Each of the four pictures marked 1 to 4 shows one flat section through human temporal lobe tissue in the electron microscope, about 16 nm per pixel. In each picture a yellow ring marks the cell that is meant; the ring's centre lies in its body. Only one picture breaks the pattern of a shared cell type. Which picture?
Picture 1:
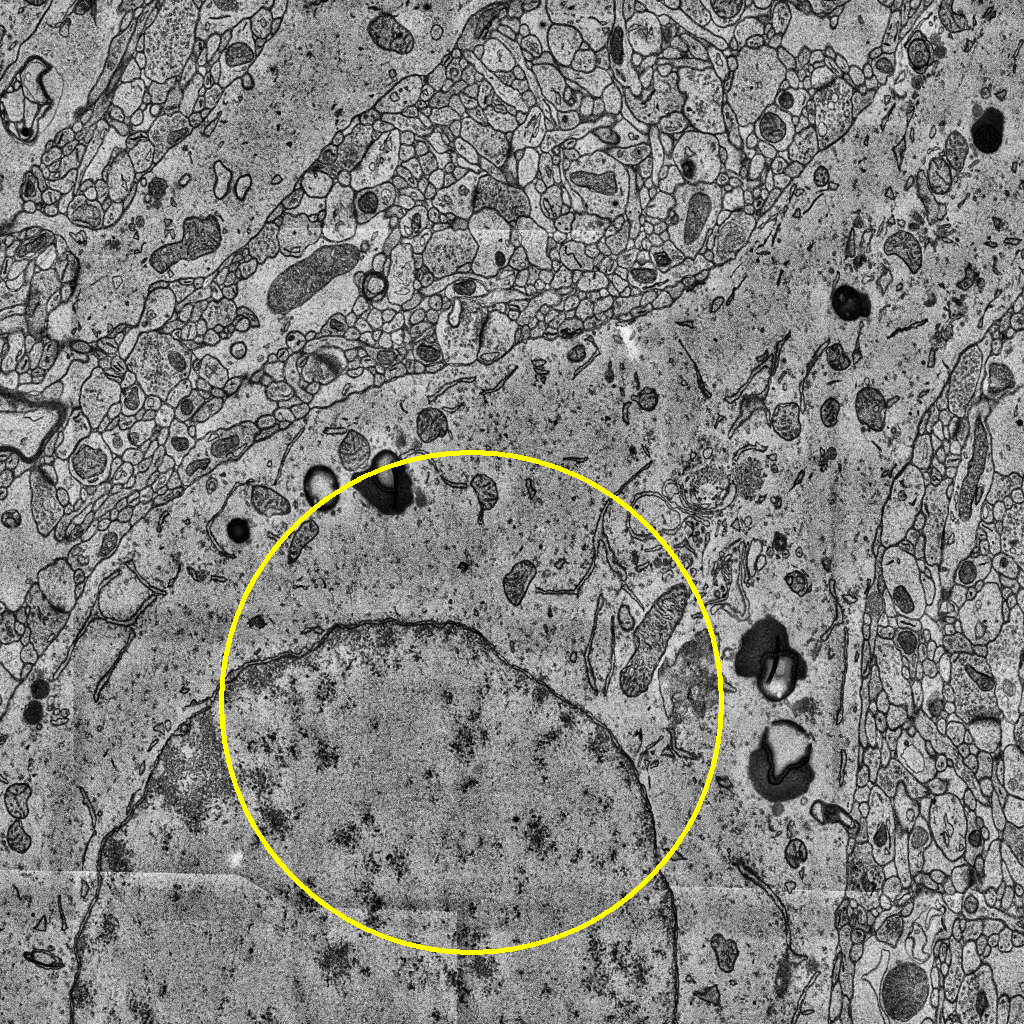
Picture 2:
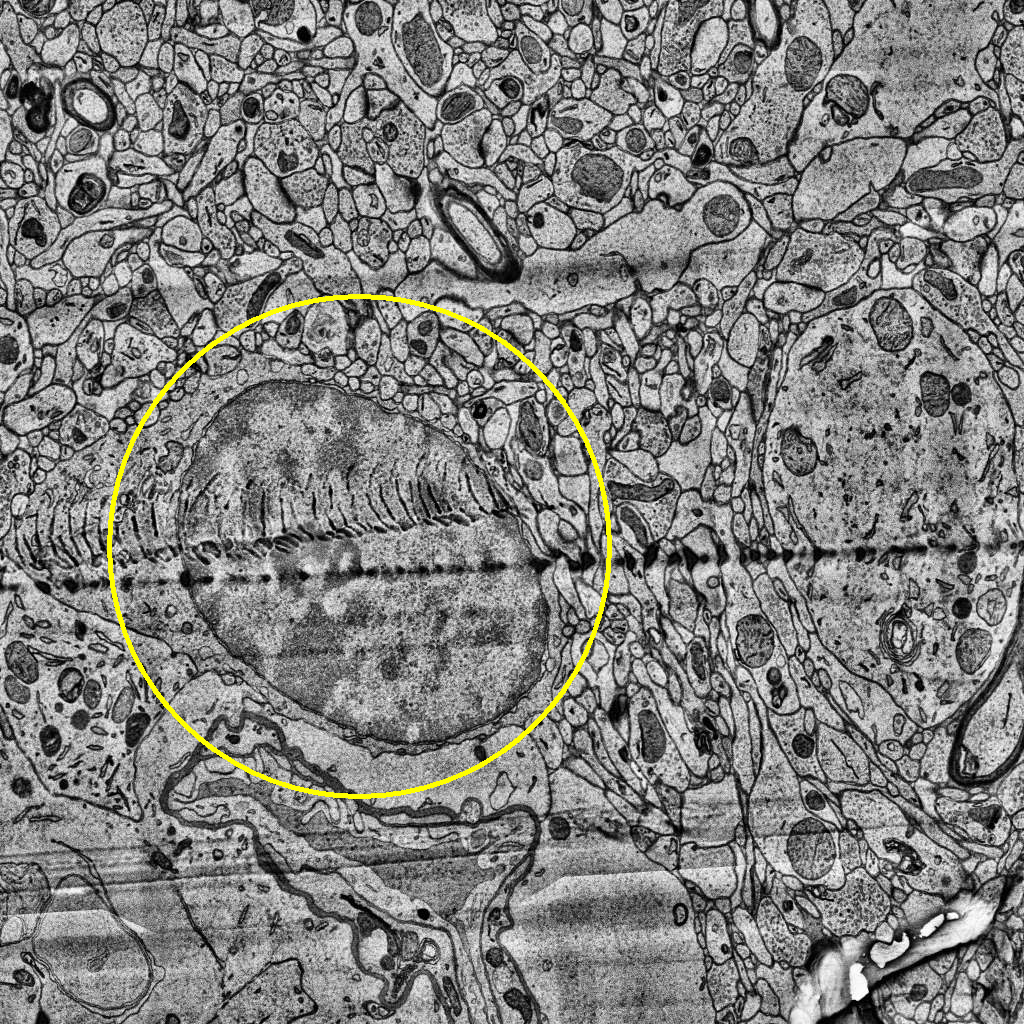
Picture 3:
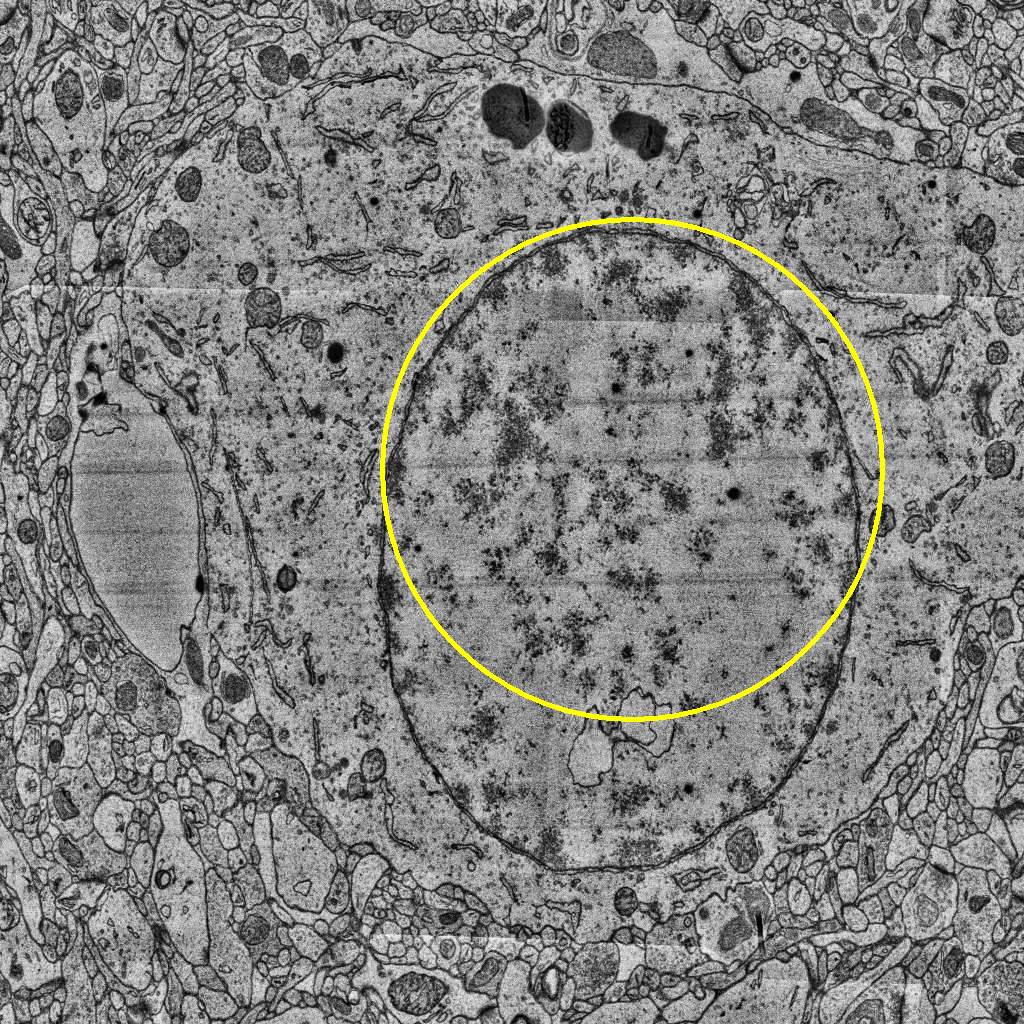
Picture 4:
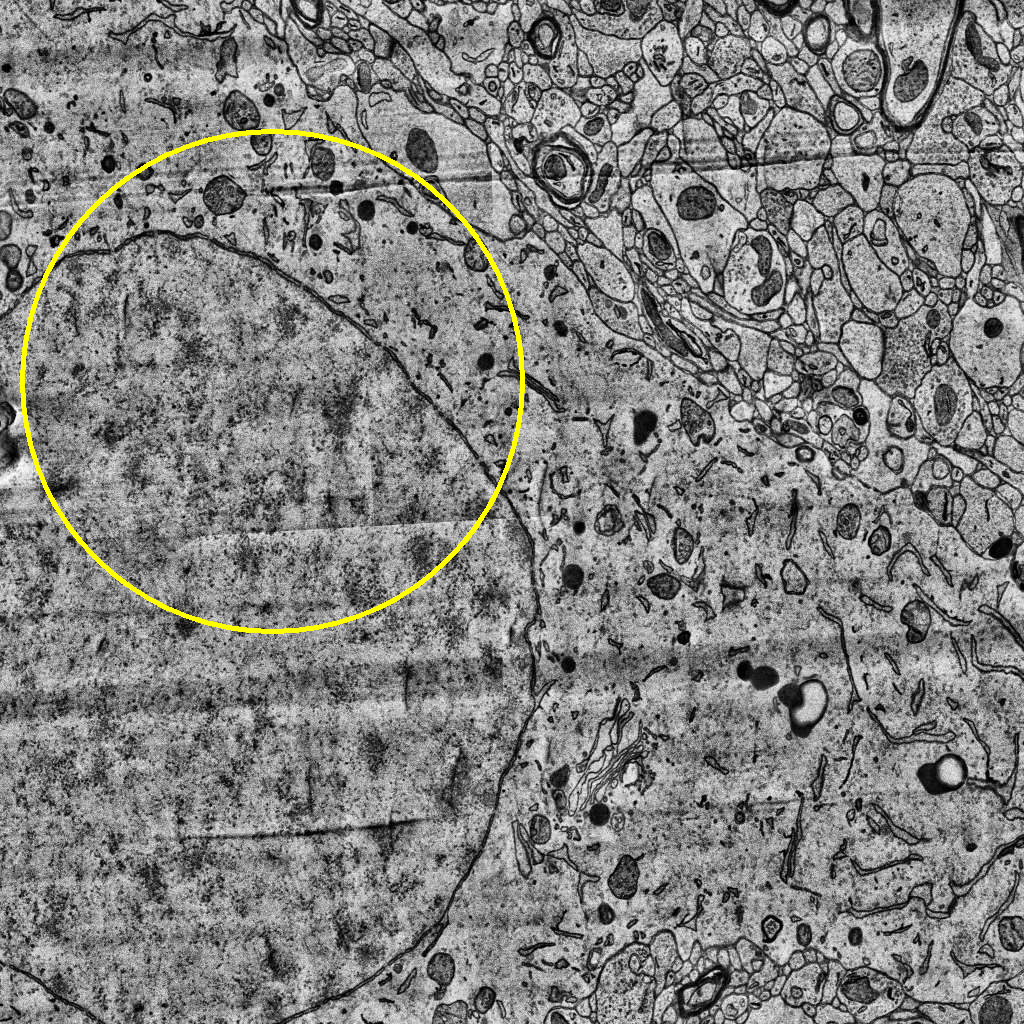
Picture 2 differs, because its cell is an oligodendrocyte and the rest are pyramidal neurons.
